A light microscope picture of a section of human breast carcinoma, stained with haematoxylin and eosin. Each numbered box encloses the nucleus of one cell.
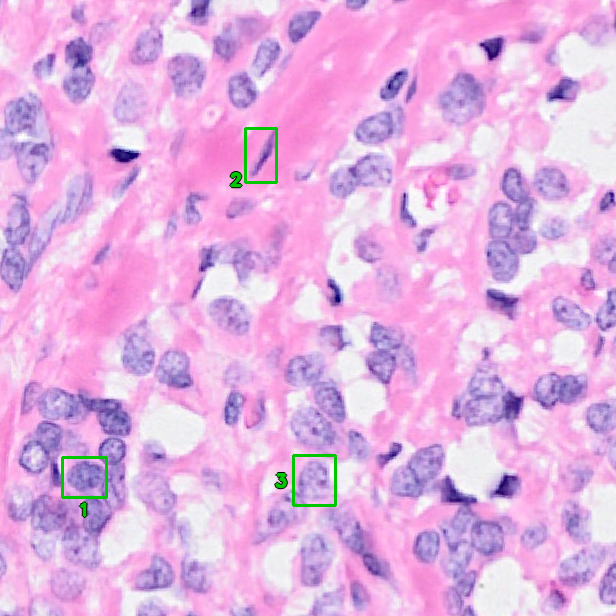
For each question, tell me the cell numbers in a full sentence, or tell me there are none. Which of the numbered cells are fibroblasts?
Cell 2 is a fibroblast; every other numbered cell is something else.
